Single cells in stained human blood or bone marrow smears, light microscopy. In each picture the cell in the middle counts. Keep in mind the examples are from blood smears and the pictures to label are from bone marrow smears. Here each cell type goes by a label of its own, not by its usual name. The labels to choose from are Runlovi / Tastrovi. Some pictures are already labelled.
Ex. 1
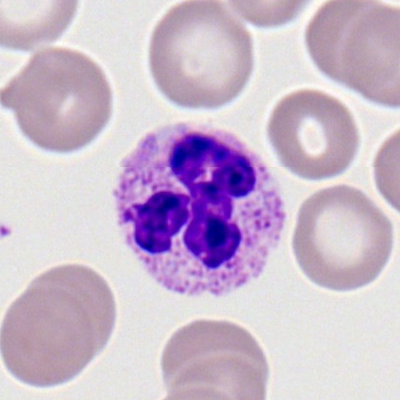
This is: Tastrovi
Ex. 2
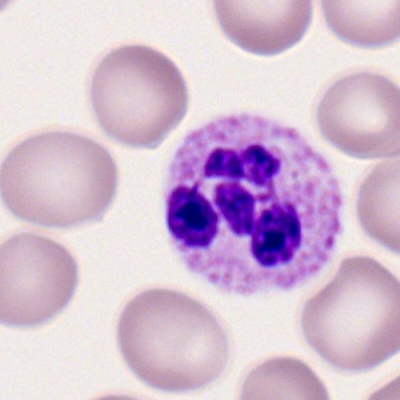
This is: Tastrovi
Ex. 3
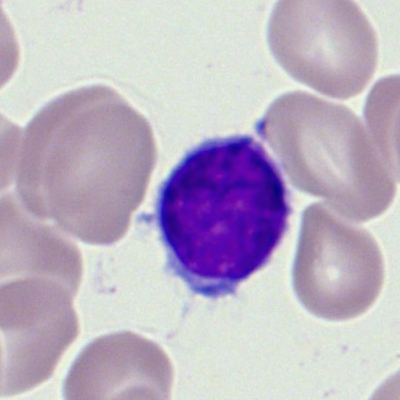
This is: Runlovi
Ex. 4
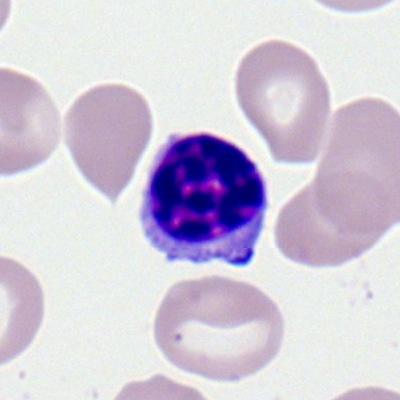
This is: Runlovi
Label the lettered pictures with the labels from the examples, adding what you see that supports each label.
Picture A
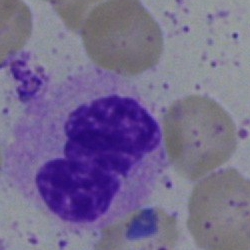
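Label: Tastrovi. Fine pinkish-purple granules are dusted evenly through the cytoplasm.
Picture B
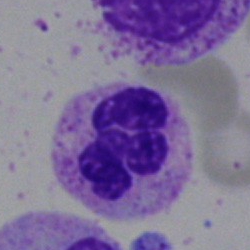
Label: Tastrovi. The cytoplasm contains fine, scattered pinkish-violet granules.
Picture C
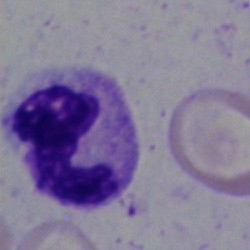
Label: Tastrovi. The cytoplasm is plentiful and pale lilac.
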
